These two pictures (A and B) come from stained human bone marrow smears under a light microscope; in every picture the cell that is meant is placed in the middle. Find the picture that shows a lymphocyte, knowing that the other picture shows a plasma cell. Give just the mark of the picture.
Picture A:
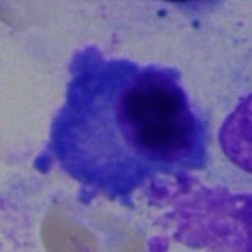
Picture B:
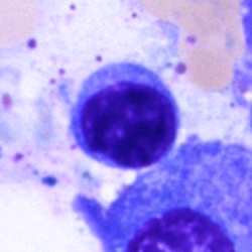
B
